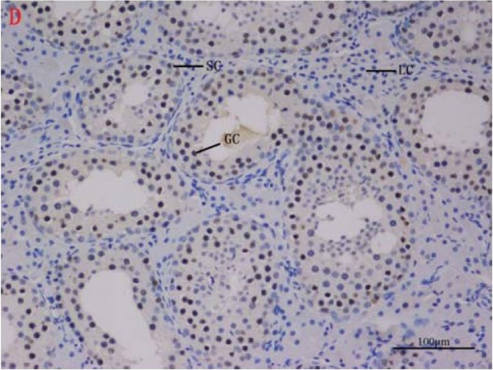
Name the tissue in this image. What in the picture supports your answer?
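Round tubular profiles lined by several layers of cells with central lumens. Interstitial tissue with scattered cells lies between the tubules. Many round nuclei inside the tubules are stained brown.
Testes.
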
